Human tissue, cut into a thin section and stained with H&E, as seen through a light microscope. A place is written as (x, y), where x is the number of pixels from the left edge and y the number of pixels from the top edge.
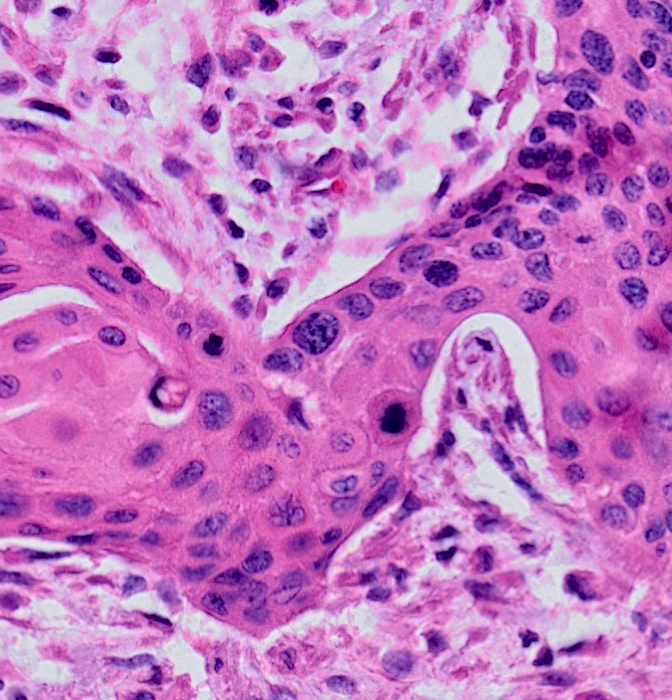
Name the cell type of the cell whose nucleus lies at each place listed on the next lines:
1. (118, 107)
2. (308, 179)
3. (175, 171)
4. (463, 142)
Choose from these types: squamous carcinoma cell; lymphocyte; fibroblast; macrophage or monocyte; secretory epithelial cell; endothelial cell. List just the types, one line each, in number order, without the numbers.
fibroblast
endothelial cell
fibroblast
fibroblast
